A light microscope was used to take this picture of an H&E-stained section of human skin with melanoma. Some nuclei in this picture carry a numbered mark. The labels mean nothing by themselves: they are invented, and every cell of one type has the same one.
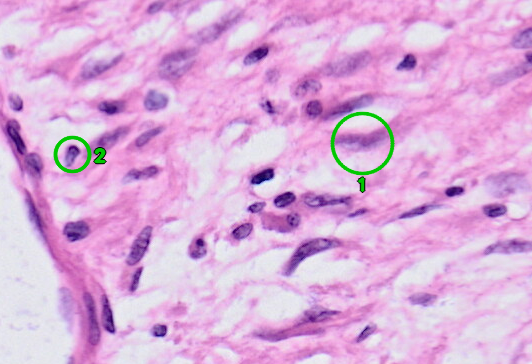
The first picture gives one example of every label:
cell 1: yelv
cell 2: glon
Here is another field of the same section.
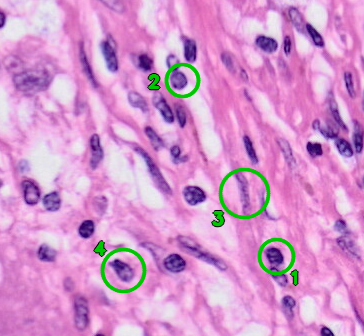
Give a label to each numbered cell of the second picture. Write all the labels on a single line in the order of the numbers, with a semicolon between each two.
glon; glon; yelv; glon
